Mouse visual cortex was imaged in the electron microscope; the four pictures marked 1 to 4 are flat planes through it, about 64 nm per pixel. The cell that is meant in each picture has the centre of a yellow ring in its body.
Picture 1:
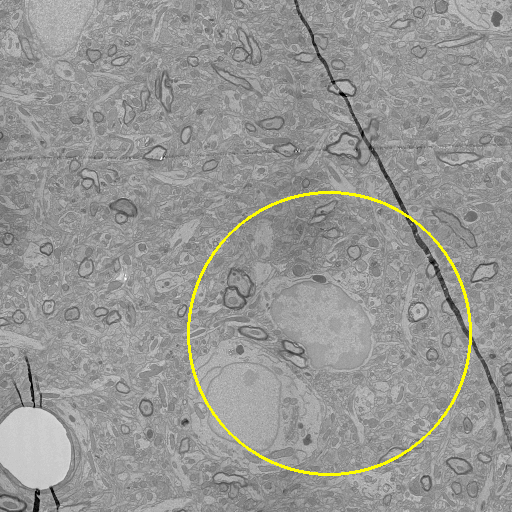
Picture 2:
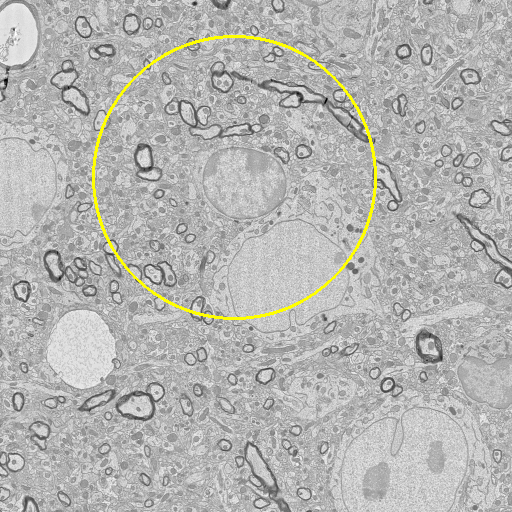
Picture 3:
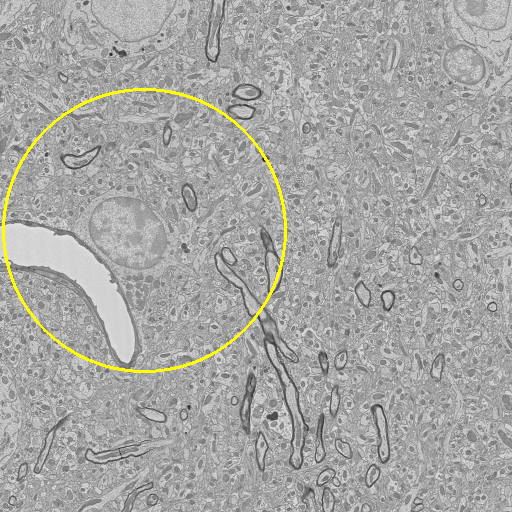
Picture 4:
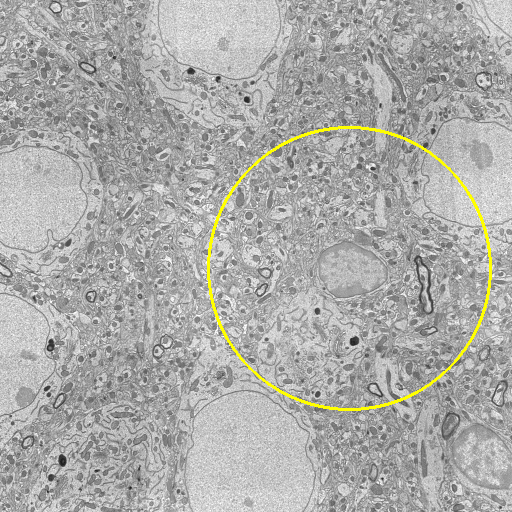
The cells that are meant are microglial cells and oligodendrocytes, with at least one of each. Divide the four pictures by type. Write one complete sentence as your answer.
Pictures 1 and 4 show microglial cells, and pictures 2 and 3 show oligodendrocytes.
